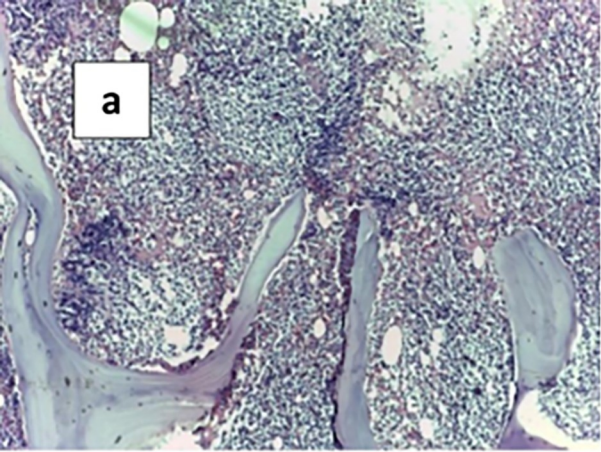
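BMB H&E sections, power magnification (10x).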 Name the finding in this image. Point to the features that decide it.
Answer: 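Dense, darker cellular patches lie along and between the trabeculae. Very few fat spaces are present.
Para trabecular and patchy infiltration.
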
